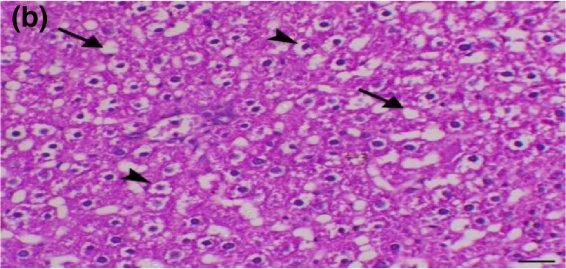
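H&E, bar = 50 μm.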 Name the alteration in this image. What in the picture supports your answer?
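Diffuse marked hepatic vacuolation. Clear, unstained spaces are scattered throughout the hepatocyte cytoplasm across the whole field. The cytoplasm looks pale and foamy rather than evenly pink.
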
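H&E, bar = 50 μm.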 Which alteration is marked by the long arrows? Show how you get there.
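The arrows point at round, sharply outlined clear vacuoles. The vacuoles are empty and unstained.
Conclusion: fatty changes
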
